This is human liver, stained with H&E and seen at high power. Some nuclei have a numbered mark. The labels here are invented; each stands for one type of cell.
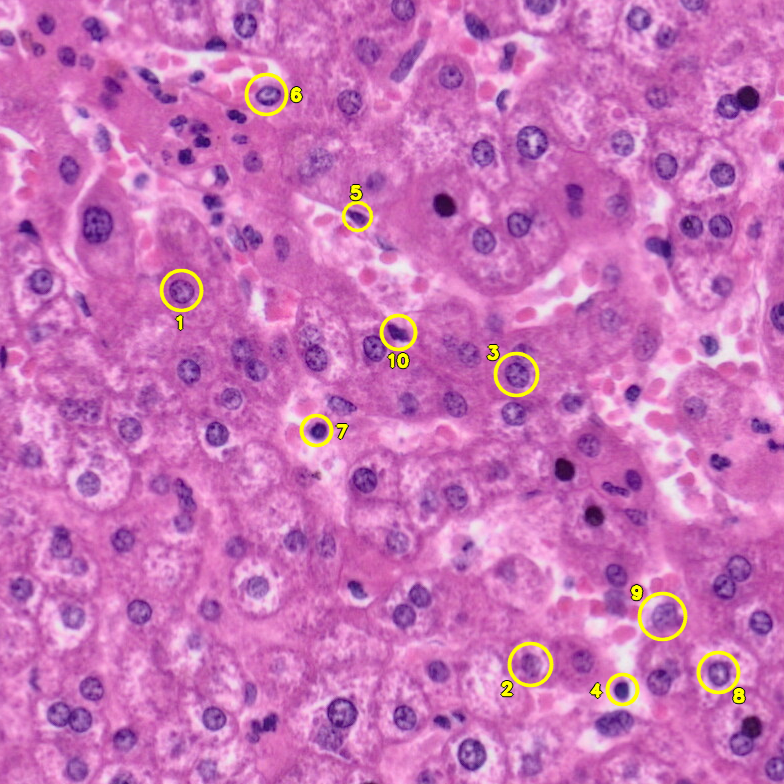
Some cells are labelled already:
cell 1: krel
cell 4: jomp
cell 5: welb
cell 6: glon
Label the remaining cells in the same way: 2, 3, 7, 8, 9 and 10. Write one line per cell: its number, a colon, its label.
2: krel
3: krel
7: jomp
8: krel
9: glon
10: welb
